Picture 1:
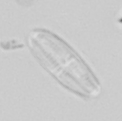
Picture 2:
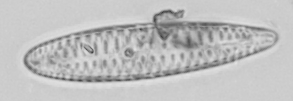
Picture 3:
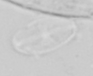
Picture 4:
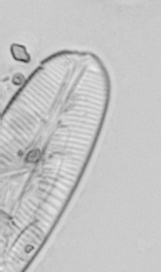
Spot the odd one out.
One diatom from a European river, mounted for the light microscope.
Picture 2 (Rhoicosphenia among Sellaphora).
